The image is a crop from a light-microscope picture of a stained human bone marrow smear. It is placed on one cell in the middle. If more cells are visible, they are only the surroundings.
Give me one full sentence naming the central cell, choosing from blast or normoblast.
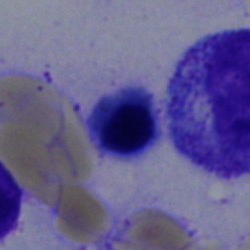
Positioned in the middle of the crop is a normoblast.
